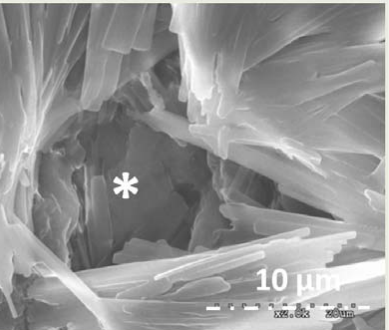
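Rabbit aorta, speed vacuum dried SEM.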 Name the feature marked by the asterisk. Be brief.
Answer: cavitary structure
